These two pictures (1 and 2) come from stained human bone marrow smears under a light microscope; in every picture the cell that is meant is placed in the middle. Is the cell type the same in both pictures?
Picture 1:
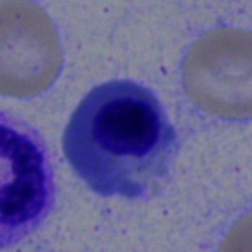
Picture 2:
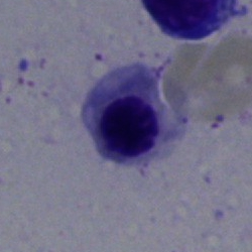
yes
